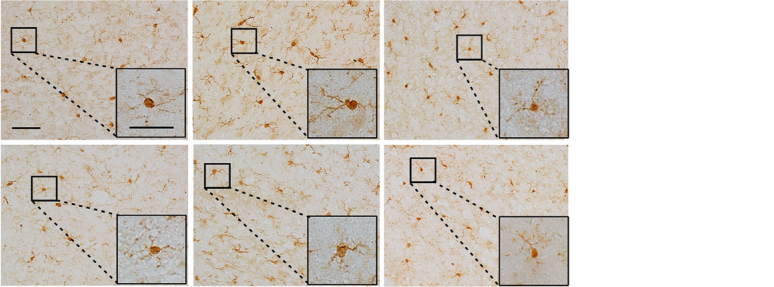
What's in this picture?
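These are microglia of the brain, picked out in brown against the pale, unstained tissue. Each cell has a small, dark, compact body from which several thin processes branch out in all directions. The cells are spread fairly evenly, each occupying its own territory without clustering. The enlarged insets show single cells with this small body and fine, ramified branches.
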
